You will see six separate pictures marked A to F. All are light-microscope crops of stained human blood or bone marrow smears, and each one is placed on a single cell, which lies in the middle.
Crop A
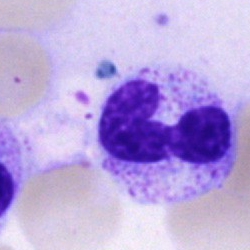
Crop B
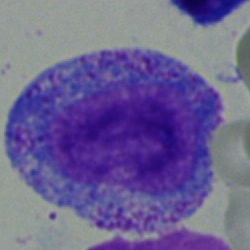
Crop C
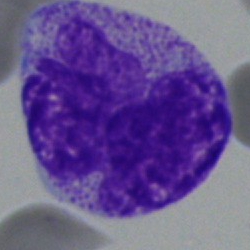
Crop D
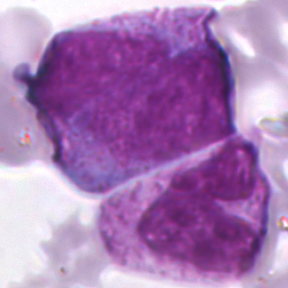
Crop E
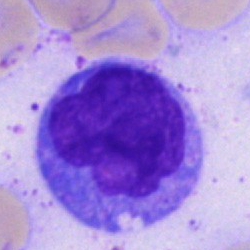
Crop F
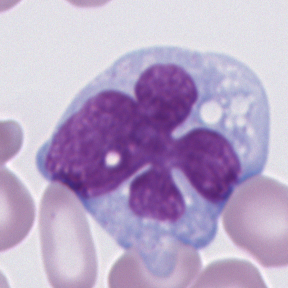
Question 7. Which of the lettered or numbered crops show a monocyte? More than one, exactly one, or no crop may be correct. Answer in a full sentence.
Form entry, crops C, E and F: central cells are monocytes.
